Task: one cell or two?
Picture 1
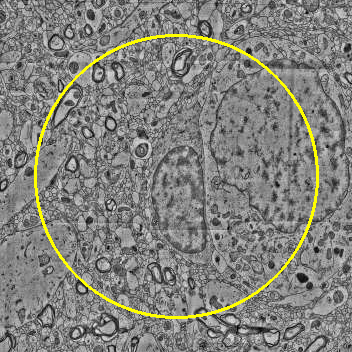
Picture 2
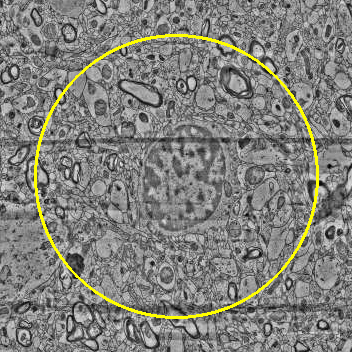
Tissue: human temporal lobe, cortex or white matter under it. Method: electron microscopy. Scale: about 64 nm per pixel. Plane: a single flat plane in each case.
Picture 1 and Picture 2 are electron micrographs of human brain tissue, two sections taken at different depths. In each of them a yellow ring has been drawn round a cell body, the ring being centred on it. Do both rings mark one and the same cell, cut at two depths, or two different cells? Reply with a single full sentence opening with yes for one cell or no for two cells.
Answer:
No, the two rings refer to two distinct cells.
